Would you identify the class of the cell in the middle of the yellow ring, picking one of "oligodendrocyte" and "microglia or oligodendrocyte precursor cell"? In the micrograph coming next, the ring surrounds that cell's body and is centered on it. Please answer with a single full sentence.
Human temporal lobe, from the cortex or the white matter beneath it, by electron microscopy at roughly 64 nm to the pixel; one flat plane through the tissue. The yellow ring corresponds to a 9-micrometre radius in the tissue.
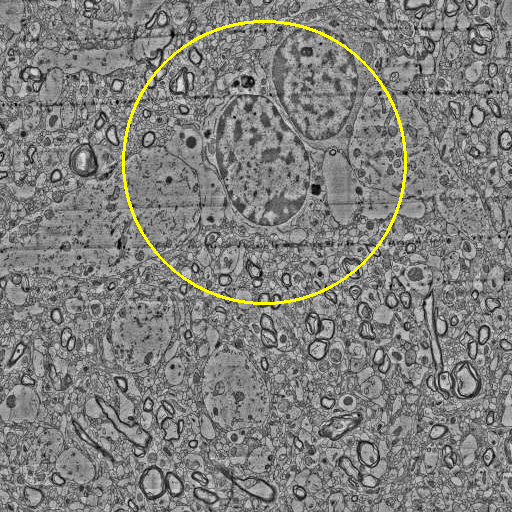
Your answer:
In the micrograph, it is a microglial cell or oligodendrocyte precursor cell whose body lies at the ring's center.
